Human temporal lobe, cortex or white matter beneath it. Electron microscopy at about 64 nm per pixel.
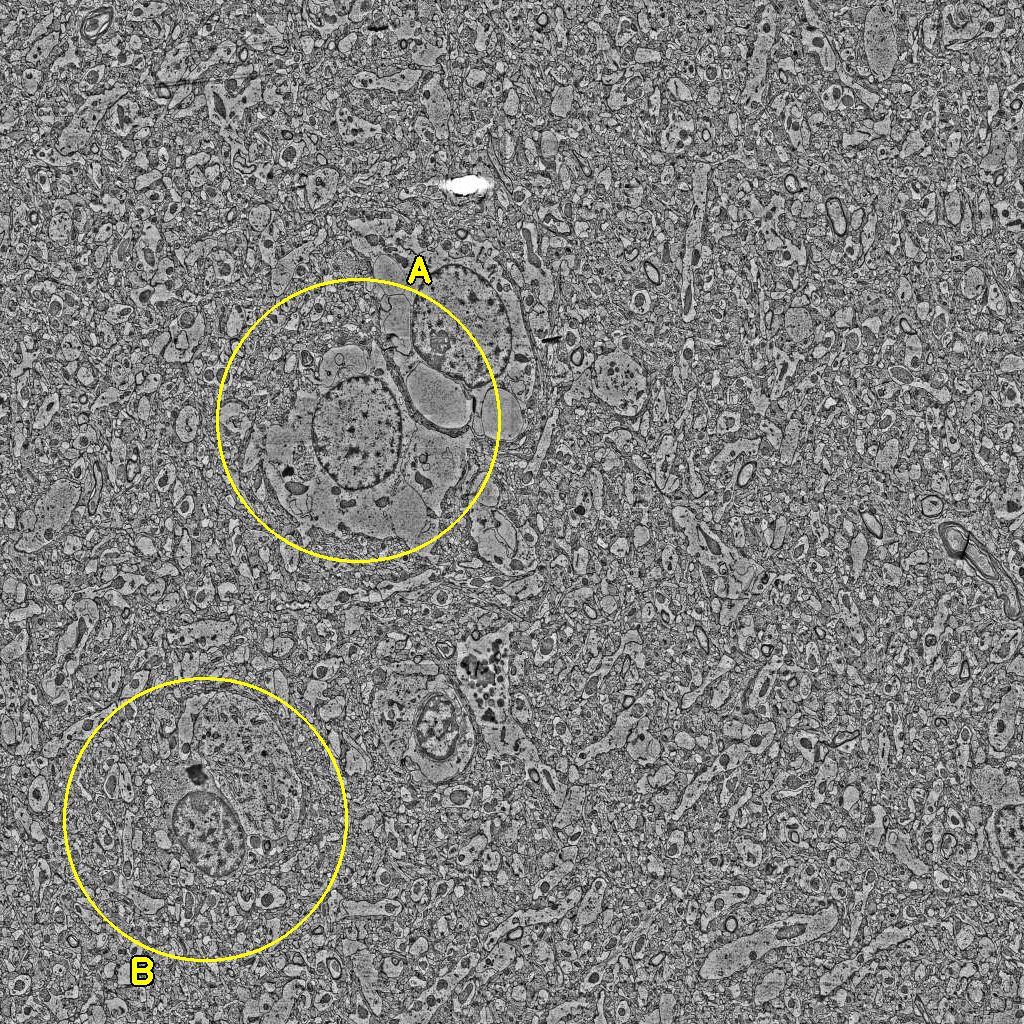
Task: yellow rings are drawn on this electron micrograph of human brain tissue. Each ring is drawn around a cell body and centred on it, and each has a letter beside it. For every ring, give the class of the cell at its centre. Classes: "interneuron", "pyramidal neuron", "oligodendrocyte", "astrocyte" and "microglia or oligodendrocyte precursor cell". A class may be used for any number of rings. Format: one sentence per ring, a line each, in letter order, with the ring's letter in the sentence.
The cell ringed as A is an astrocyte.
The cell ringed as B is an oligodendrocyte.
